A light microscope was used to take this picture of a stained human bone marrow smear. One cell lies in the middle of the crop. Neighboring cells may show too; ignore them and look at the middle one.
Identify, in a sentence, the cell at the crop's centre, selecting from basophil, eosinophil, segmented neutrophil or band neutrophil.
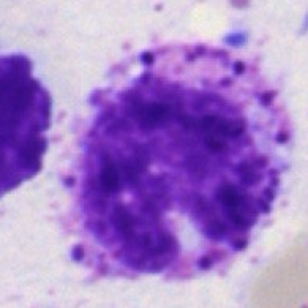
The center cell of this crop is a basophil.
